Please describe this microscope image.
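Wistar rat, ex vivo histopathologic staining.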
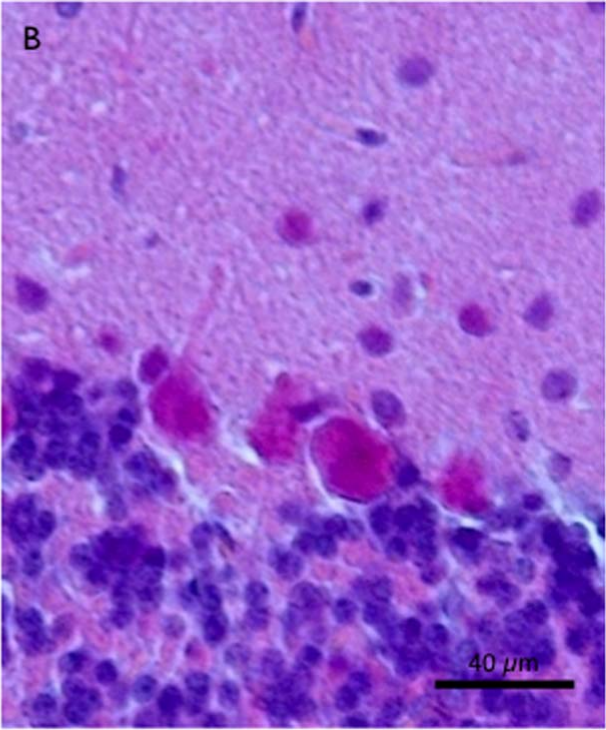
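This is the cerebellar cortex in pink and purple, with its characteristic layers and a row of large Purkinje cells. The lower part is a dense sheet of small, round, dark purple nuclei with little cytoplasm, packed tightly together. Along the upper edge of this sheet lies a single row of much larger, rounded cell bodies with deep pink cytoplasm, some set in small clear spaces. Above them spreads a broad, pale pink, finely fibrillar layer containing only scattered small round or oval nuclei.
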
